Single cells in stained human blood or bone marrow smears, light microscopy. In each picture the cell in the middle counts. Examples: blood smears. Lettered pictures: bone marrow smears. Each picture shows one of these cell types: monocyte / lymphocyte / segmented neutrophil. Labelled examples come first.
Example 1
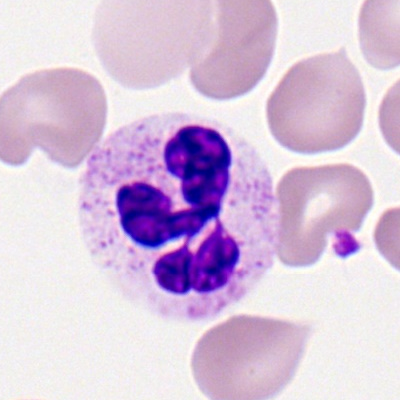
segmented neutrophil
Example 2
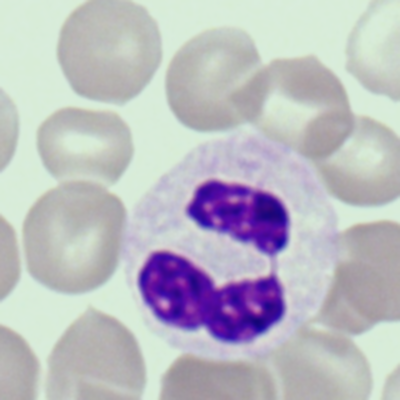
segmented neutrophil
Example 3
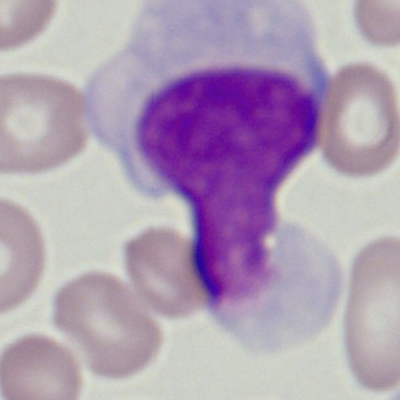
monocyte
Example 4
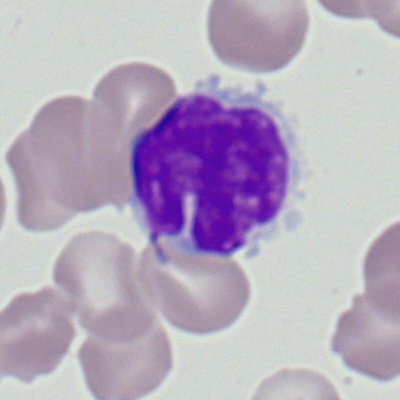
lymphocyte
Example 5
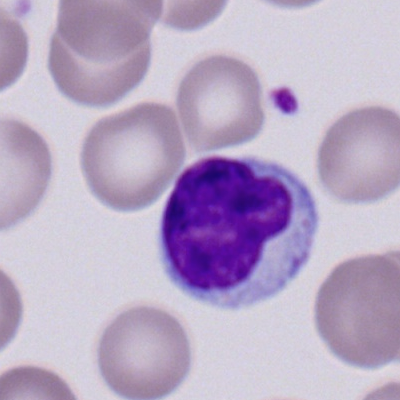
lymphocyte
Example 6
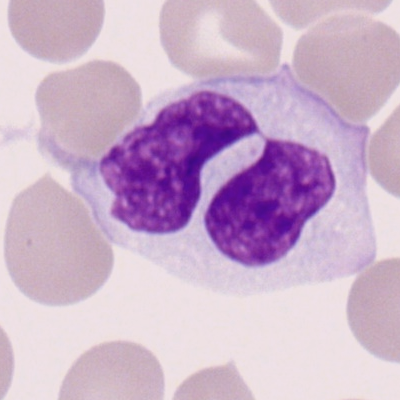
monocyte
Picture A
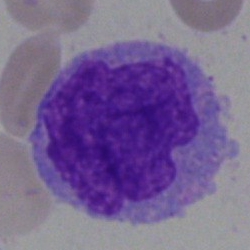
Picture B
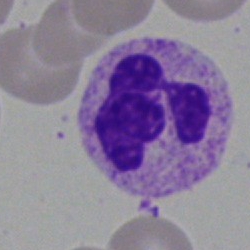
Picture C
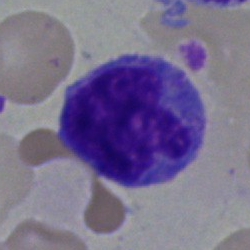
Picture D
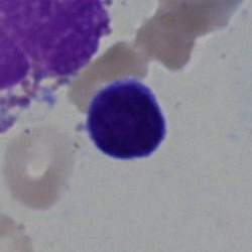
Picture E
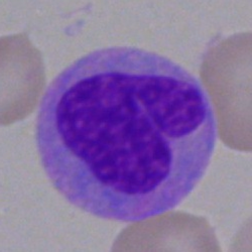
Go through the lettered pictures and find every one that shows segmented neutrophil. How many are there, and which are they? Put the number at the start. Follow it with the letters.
1: B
